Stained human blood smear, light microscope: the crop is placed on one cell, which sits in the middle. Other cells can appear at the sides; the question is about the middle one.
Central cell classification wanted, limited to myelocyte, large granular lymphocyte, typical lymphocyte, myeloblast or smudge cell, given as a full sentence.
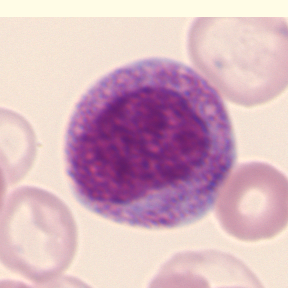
The crop's centre is taken up by a myelocyte.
